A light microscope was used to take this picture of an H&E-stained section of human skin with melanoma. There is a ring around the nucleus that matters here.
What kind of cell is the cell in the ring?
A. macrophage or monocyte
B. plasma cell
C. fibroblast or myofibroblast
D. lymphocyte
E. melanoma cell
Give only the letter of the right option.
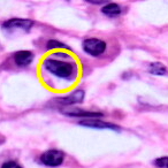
B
